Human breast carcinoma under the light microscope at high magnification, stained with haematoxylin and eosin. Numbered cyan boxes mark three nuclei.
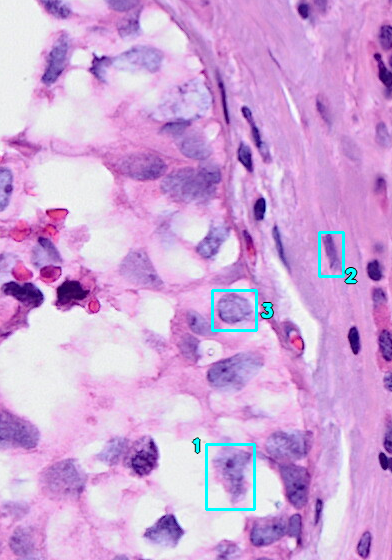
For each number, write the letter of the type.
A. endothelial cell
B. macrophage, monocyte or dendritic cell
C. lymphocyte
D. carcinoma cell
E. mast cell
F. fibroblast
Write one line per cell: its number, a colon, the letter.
1: D
2: F
3: D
